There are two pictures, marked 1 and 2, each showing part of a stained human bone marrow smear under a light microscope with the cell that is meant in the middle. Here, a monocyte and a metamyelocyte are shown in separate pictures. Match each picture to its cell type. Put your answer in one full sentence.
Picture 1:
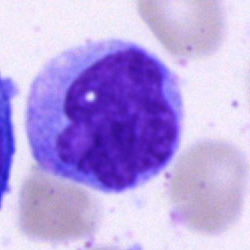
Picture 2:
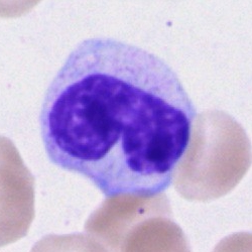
Picture 1 is of a monocyte, and picture 2 is of a metamyelocyte.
